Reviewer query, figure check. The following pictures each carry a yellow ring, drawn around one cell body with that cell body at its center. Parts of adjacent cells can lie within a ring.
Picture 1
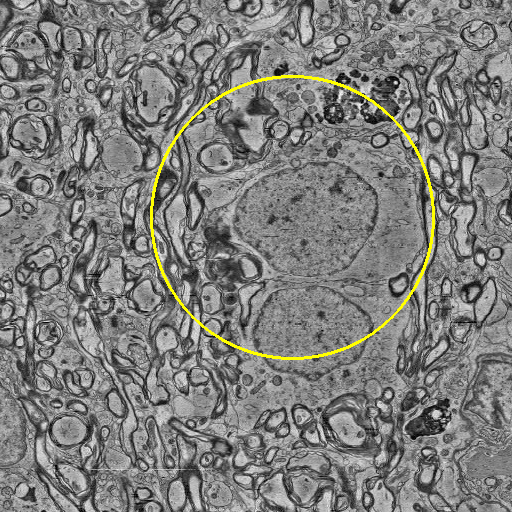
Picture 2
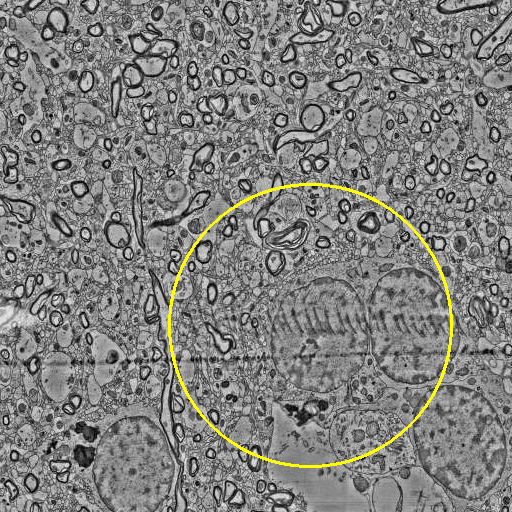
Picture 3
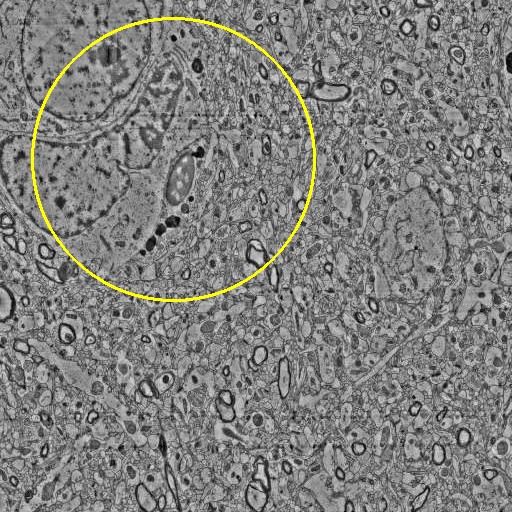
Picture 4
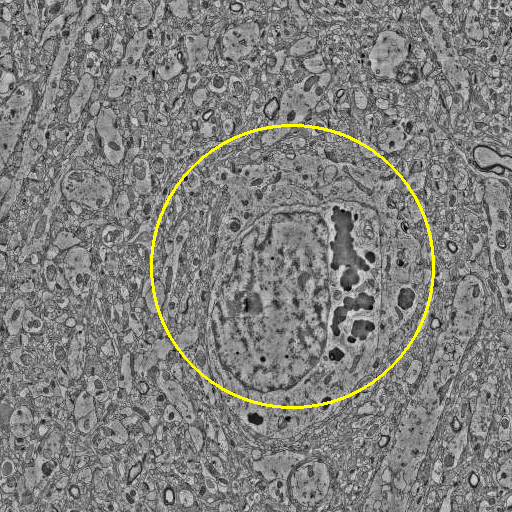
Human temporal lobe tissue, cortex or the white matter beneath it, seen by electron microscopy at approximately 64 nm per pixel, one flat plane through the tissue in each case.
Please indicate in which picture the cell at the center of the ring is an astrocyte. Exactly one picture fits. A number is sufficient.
1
